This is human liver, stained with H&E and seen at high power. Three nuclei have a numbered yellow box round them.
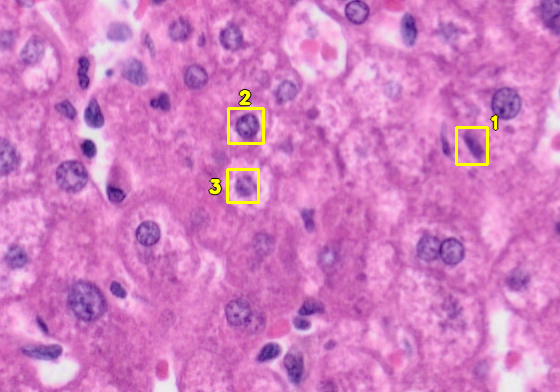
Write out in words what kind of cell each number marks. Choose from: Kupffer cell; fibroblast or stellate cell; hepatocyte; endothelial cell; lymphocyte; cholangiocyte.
Cell 1 is a fibroblast or stellate cell. Cells 2 and 3 are hepatocytes.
